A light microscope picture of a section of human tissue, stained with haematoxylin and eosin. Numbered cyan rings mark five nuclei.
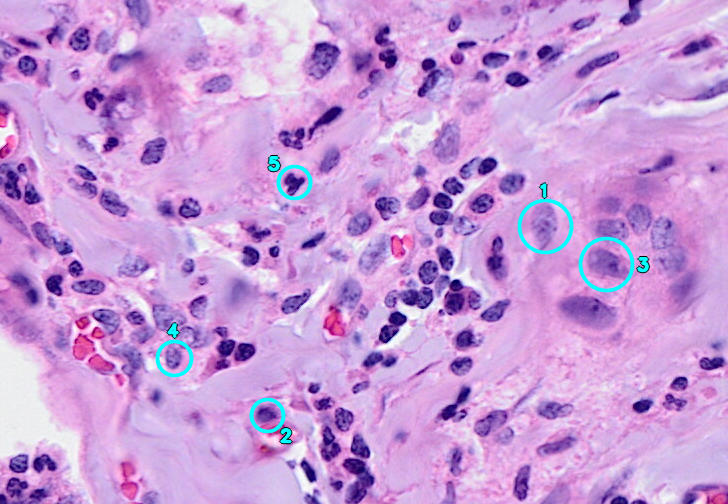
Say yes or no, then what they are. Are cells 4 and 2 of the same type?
No, an endothelial cell is what cell 2 is, while cell 4 is a mast cell.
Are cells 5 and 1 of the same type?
No, with respect, cell 5 is a lymphocyte and cell 1 is a fibroblast.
